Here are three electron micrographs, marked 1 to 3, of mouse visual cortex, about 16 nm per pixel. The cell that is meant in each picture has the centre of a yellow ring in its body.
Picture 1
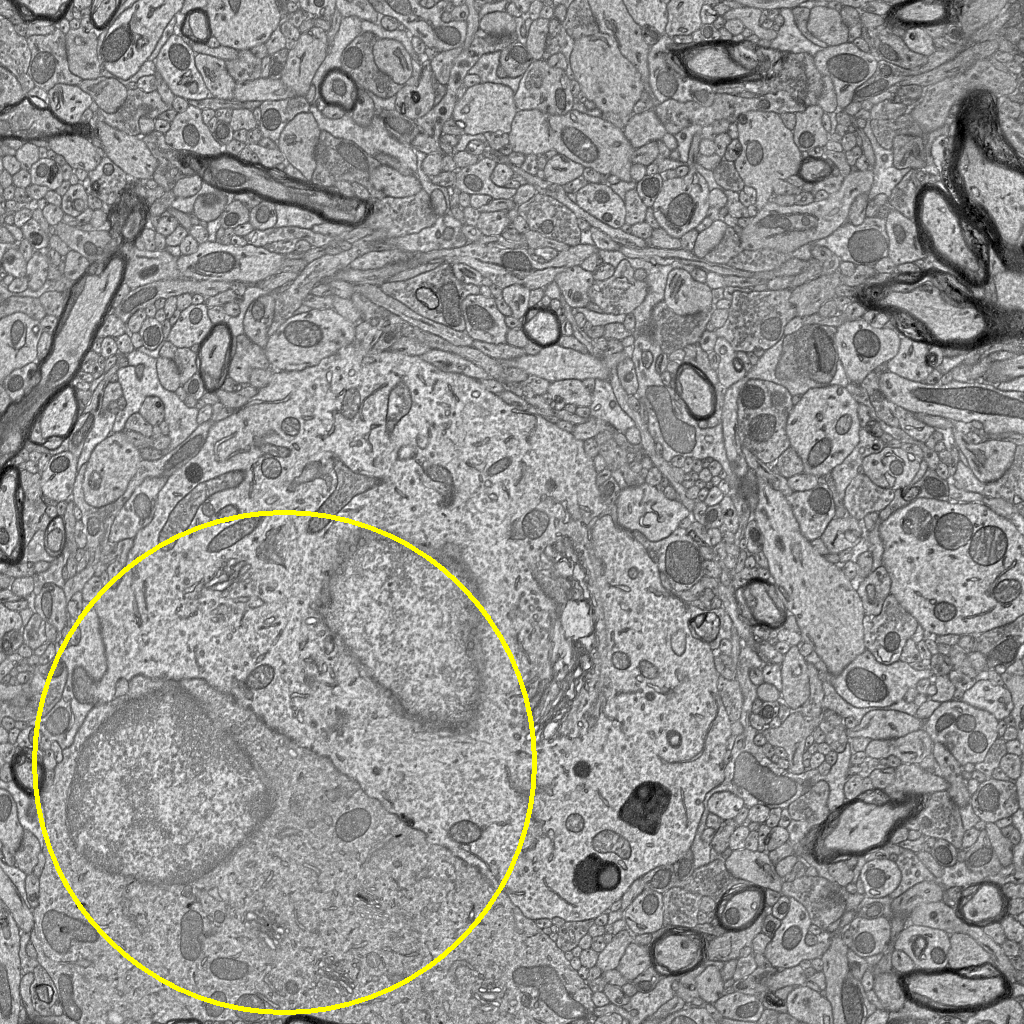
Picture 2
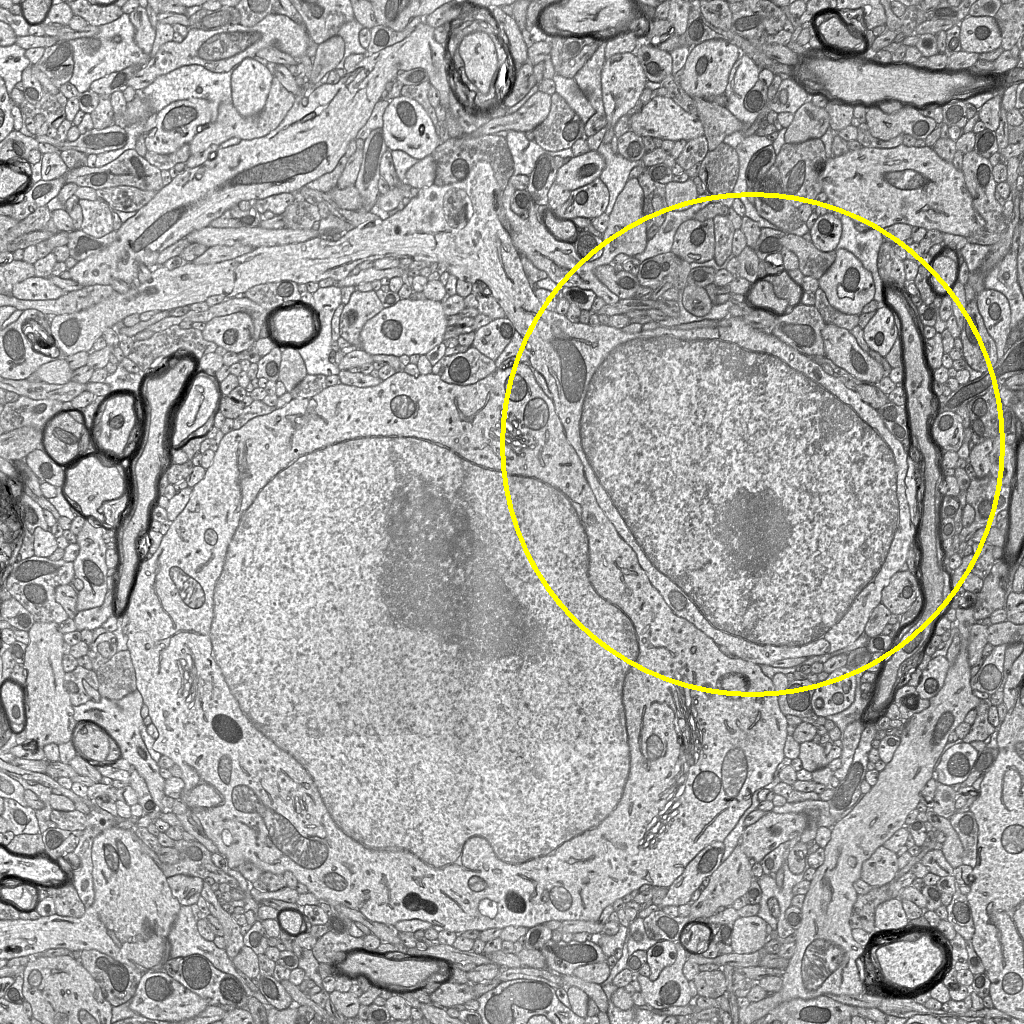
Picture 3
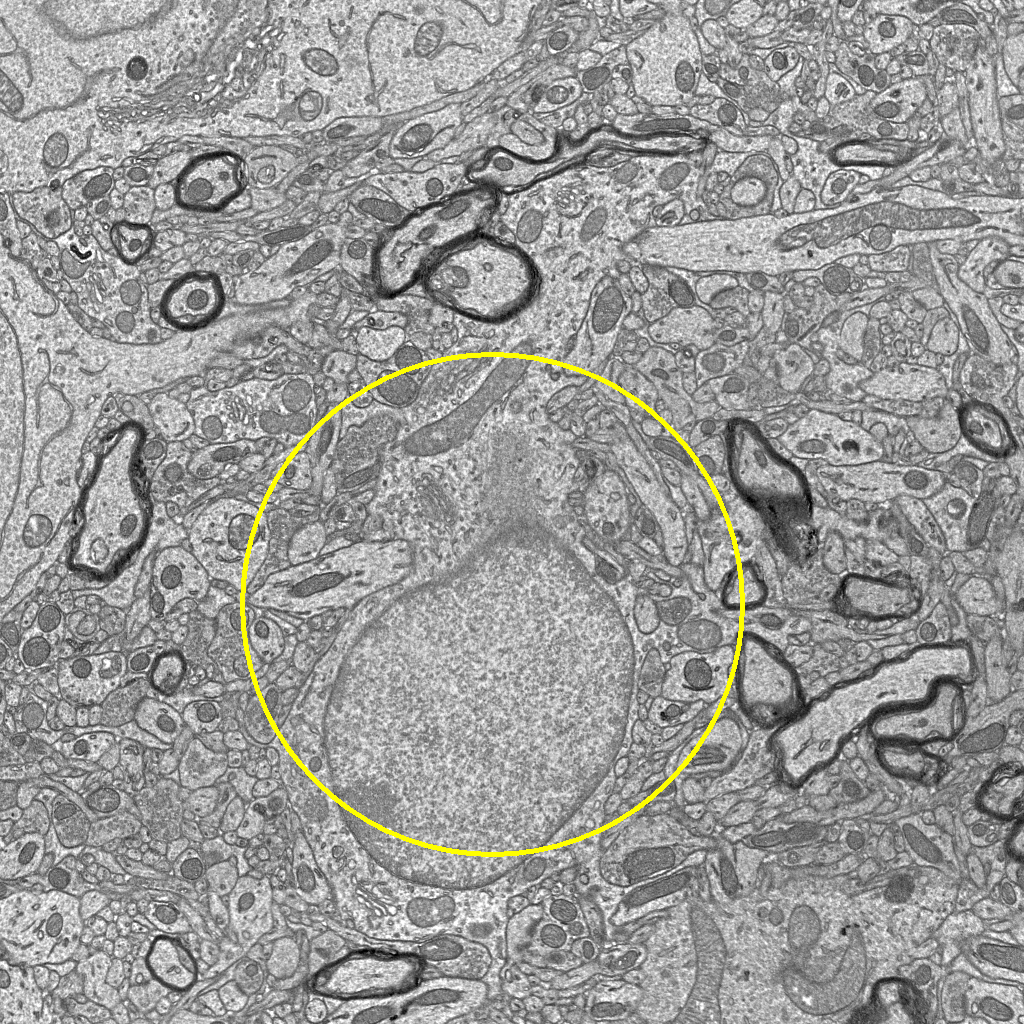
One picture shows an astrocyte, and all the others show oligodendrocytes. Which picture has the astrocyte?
The cell in picture 3 is the astrocyte.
